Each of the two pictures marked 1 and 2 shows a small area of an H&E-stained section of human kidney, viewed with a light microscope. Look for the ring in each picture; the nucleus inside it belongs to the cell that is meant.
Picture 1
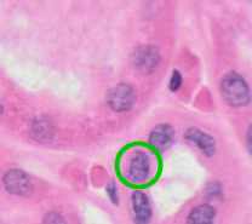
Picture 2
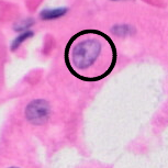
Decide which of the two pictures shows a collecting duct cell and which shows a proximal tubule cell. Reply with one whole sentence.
It is picture 1 that shows a collecting duct cell, and picture 2 that shows a proximal tubule cell.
